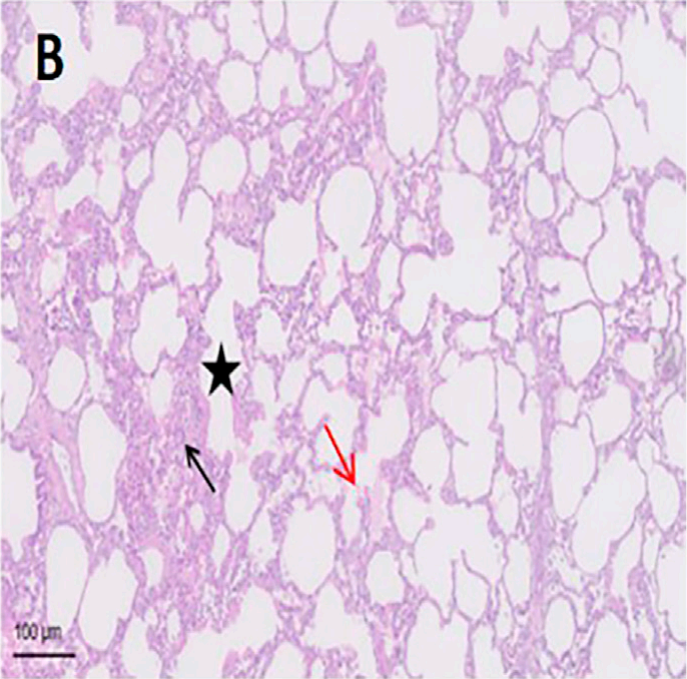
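Lung tissue with alveoli whose walls are in many places thickened and densely packed with small dark nuclei, so that airspaces are narrowed or filled. Crowded cellular patches lie within and around alveoli, and pale pink, cell-poor material lies in some airspaces, while other regions keep open round alveoli with thinner septa.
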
